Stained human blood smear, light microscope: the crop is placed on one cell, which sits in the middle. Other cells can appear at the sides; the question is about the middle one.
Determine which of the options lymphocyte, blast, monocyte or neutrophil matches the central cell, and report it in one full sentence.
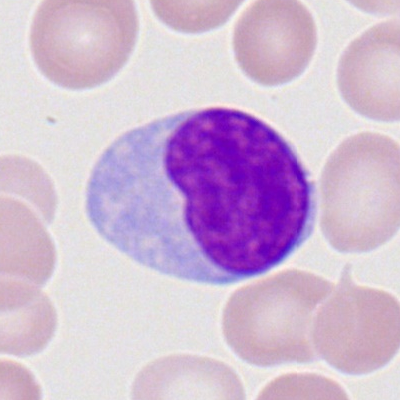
Seen at the centre of the crop is a lymphocyte.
